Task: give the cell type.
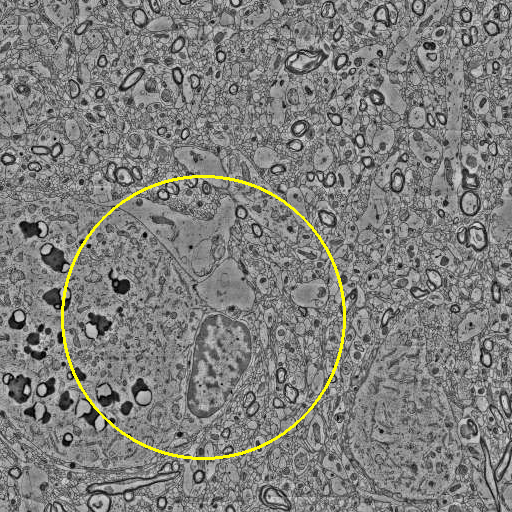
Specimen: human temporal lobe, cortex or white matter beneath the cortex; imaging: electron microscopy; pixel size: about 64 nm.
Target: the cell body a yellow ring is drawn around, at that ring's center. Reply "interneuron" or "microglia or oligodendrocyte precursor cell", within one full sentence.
In this picture, the cell whose body lies at the ring's center is a microglial cell or oligodendrocyte precursor cell.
